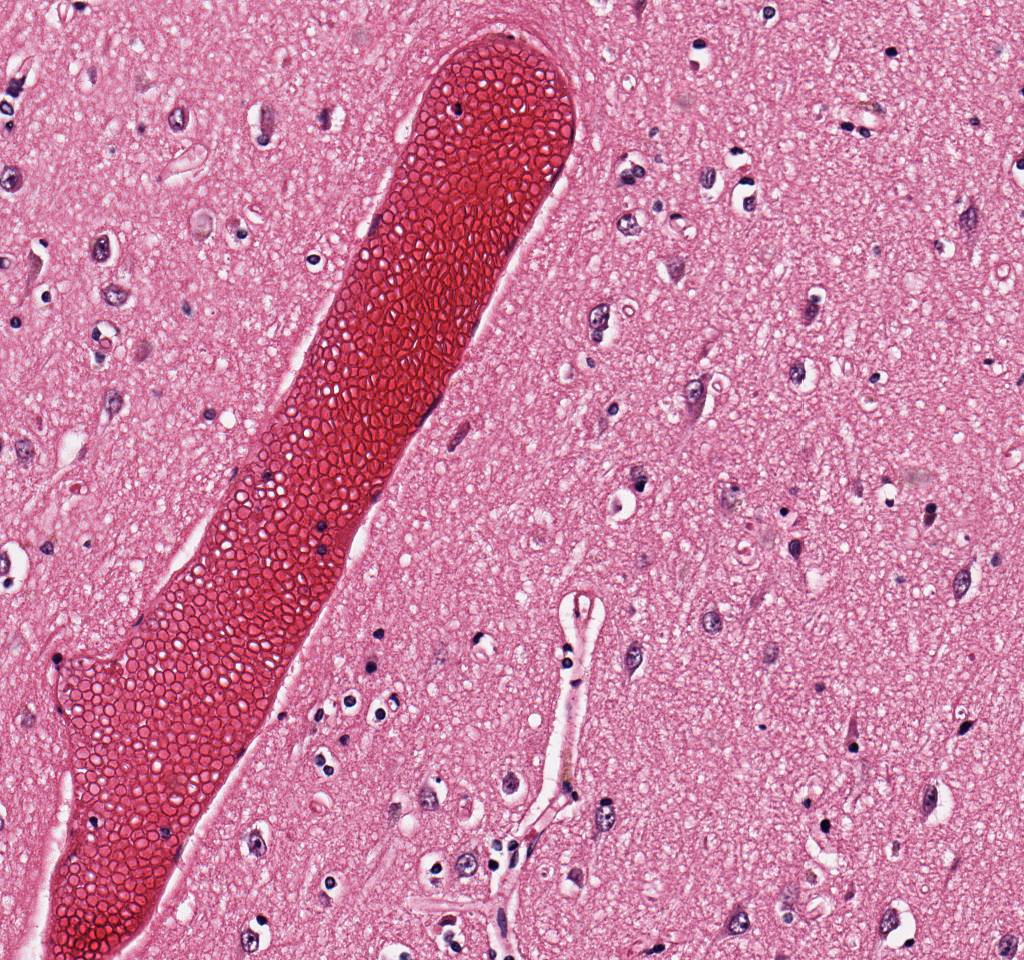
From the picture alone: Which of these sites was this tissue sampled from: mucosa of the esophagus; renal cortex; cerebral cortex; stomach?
cerebral cortex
